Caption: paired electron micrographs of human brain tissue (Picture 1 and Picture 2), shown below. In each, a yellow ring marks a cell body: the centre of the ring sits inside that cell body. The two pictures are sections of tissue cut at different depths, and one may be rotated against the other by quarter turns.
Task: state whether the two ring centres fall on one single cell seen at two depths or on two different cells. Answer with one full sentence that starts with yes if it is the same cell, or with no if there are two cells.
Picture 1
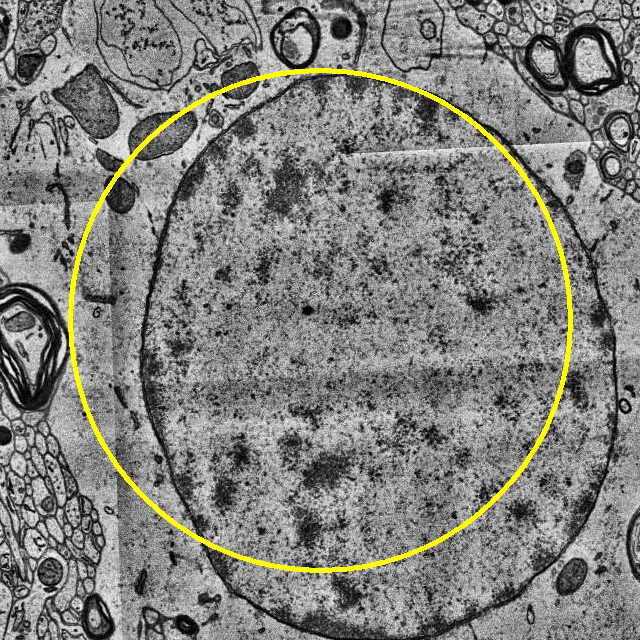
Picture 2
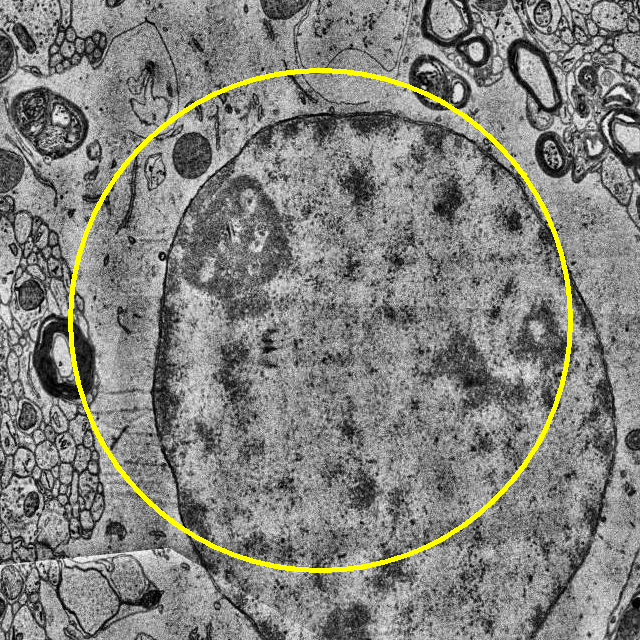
Yes, one cell appears twice, once in each ring.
